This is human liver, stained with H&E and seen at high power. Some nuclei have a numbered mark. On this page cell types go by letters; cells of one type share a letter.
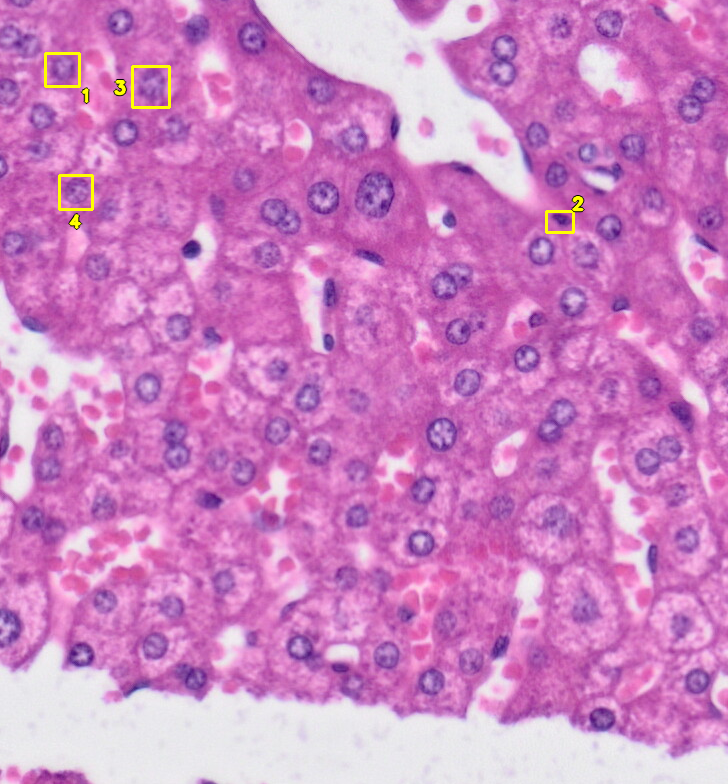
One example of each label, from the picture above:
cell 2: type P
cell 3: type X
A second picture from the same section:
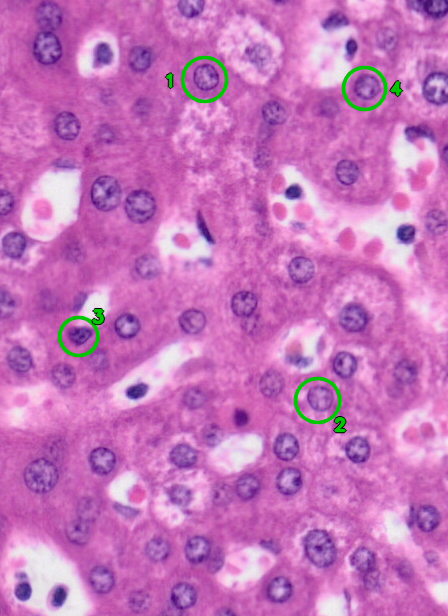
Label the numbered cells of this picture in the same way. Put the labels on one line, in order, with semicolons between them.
type X; type X; type P; type X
